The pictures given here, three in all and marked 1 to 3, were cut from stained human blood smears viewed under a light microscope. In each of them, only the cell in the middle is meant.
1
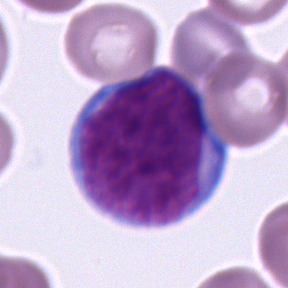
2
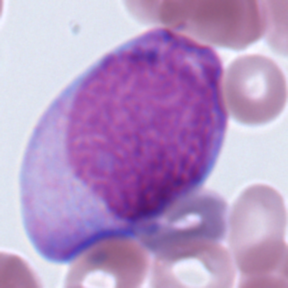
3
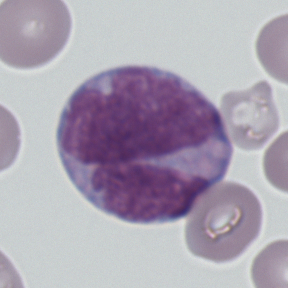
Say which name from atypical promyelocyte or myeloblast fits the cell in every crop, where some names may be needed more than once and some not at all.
1: myeloblast
2: atypical promyelocyte
3: atypical promyelocyte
